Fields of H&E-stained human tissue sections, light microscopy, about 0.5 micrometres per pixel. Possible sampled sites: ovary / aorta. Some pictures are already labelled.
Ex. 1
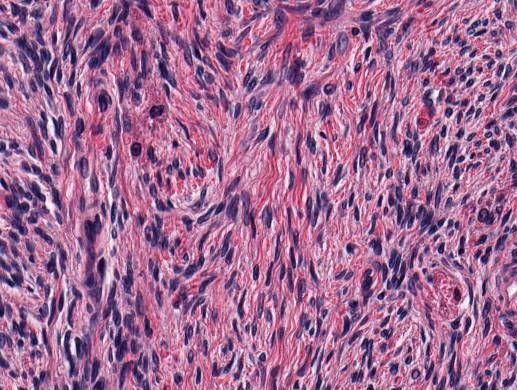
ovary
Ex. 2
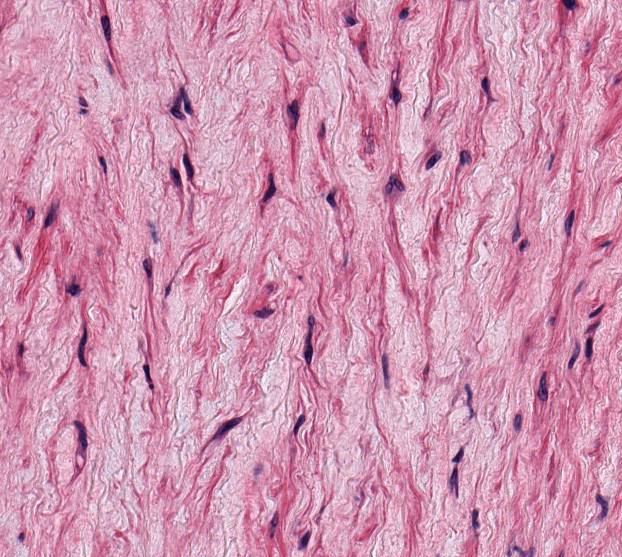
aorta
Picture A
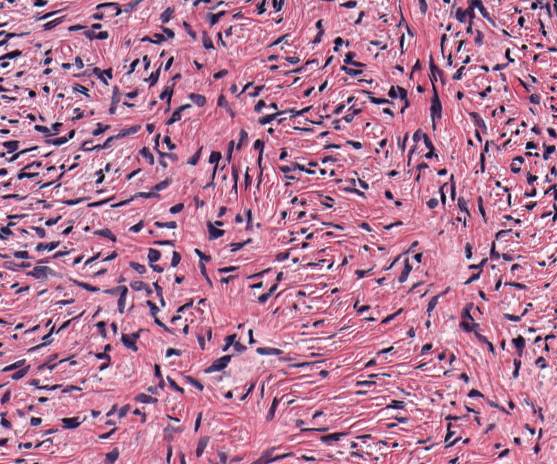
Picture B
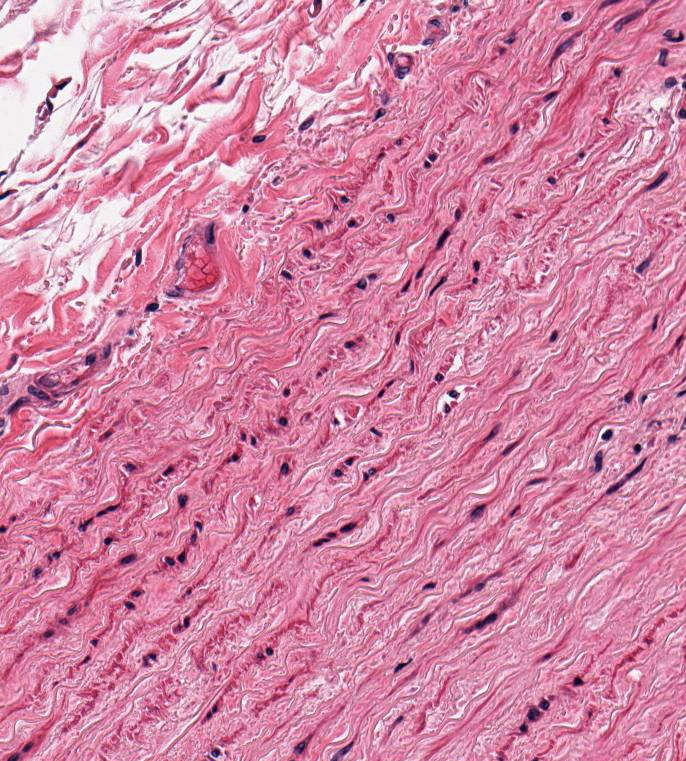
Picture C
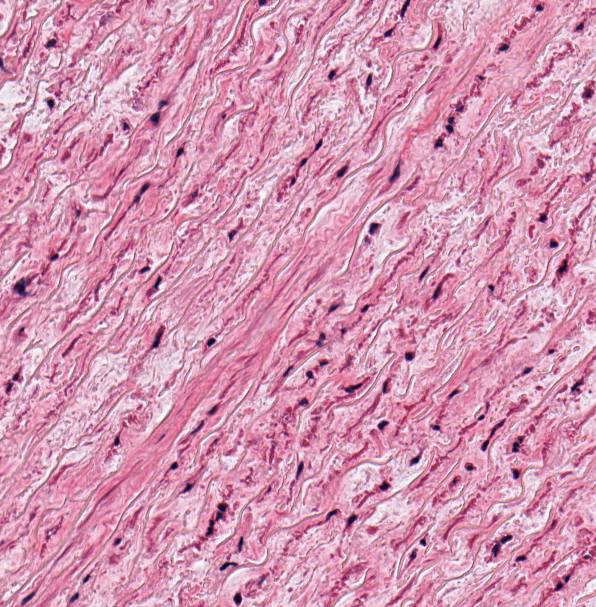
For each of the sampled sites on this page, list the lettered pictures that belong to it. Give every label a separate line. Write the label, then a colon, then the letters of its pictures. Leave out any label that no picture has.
ovary: A
aorta: B, C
